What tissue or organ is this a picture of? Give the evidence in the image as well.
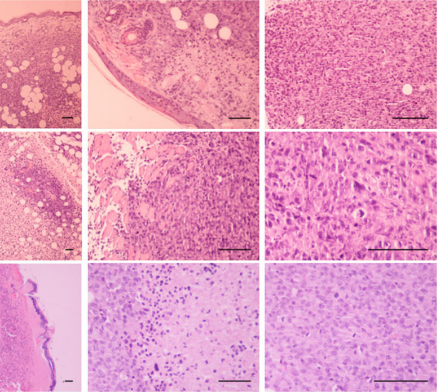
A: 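Dense sheets of crowded cells with large dark purple nuclei. The cellular mass spreads among fat cells and beneath a thin skin surface layer. On this evidence: tumours.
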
